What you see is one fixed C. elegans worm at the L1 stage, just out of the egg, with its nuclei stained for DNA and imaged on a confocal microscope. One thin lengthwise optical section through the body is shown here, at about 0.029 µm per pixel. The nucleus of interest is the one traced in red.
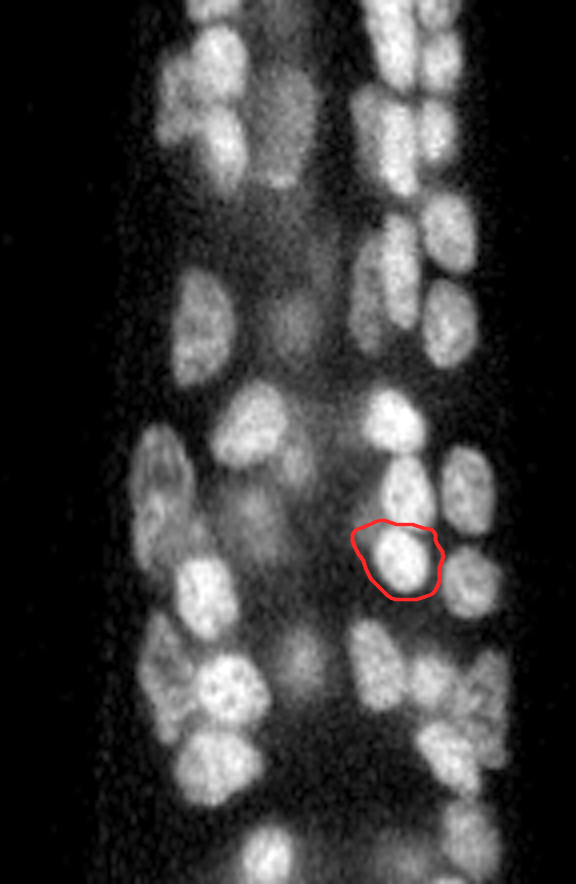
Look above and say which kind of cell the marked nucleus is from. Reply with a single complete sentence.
The marked nucleus belongs to a neuron.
